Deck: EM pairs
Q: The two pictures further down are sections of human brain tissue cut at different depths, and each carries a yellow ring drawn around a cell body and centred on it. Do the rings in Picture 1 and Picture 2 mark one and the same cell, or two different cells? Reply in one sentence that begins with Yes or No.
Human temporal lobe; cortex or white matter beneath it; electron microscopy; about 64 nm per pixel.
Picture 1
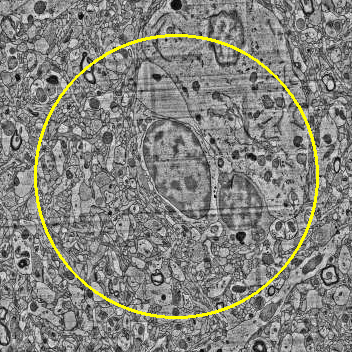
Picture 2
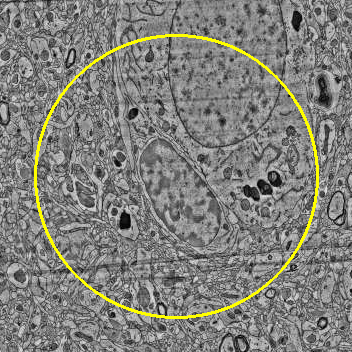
Yes, the two rings refer to one cell in the tissue.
